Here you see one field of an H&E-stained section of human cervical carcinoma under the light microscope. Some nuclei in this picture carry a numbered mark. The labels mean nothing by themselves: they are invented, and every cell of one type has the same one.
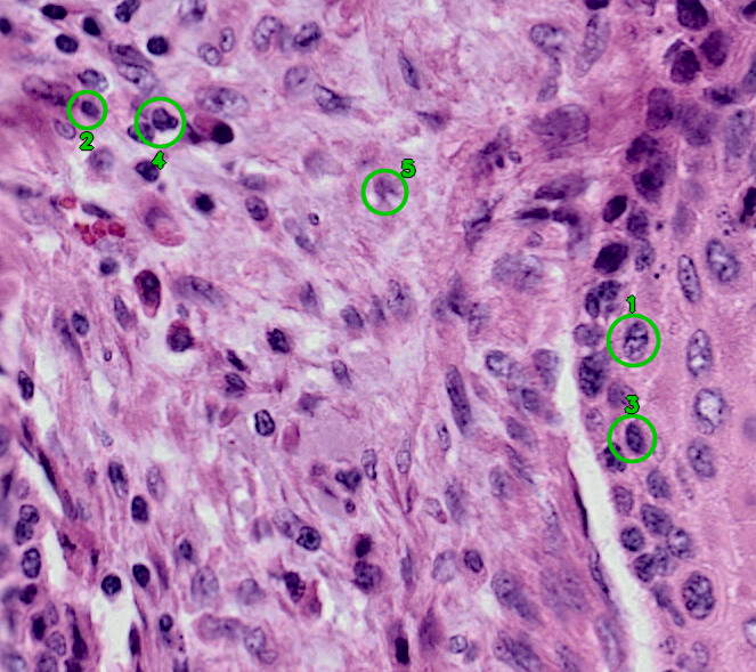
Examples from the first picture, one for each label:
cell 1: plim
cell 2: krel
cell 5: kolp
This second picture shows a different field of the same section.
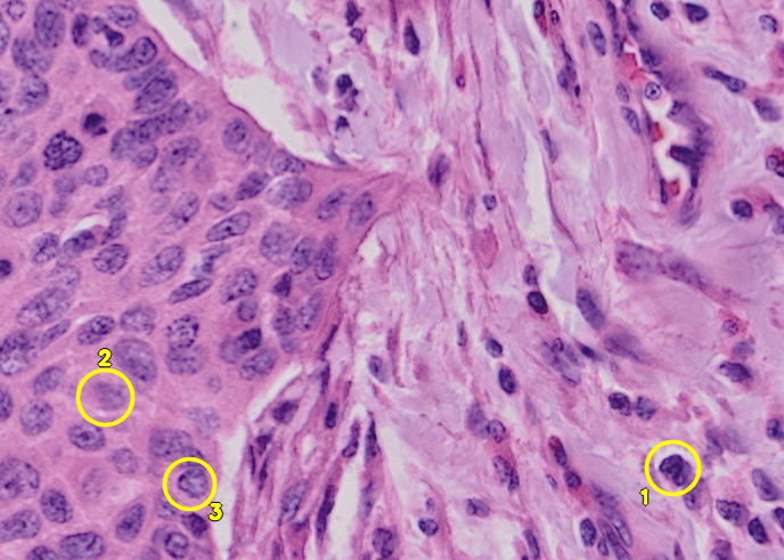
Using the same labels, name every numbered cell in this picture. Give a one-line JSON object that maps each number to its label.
{"1": "krel", "2": "plim", "3": "plim"}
